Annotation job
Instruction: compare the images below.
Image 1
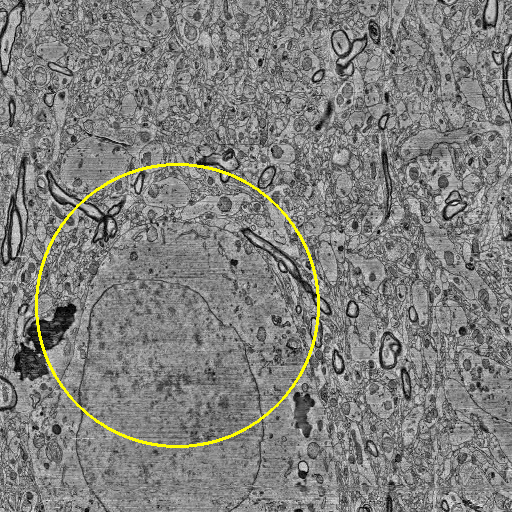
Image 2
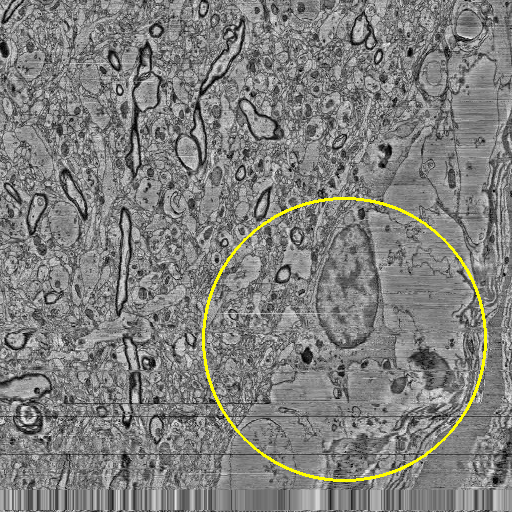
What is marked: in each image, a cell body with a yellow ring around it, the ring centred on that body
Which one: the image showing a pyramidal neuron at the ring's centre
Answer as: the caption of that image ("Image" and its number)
Image 1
